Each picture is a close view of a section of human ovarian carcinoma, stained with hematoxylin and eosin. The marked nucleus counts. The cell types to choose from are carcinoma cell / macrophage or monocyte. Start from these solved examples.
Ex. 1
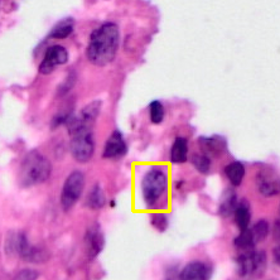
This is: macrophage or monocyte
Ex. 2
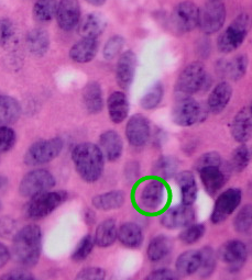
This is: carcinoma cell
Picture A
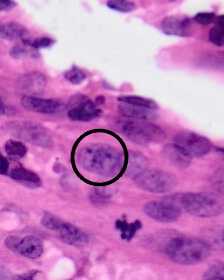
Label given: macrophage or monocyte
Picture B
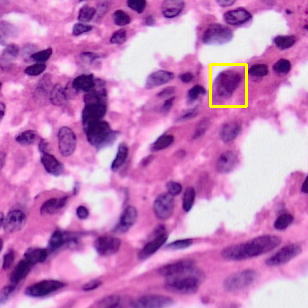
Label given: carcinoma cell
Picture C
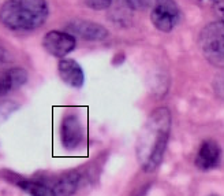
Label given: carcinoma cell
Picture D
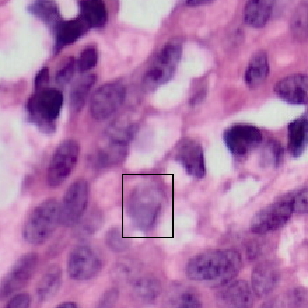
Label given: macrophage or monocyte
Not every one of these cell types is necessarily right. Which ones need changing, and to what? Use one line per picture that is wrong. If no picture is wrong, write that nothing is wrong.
A is labelled macrophage or monocyte; correct label: carcinoma cell
D is labelled macrophage or monocyte; correct label: carcinoma cell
